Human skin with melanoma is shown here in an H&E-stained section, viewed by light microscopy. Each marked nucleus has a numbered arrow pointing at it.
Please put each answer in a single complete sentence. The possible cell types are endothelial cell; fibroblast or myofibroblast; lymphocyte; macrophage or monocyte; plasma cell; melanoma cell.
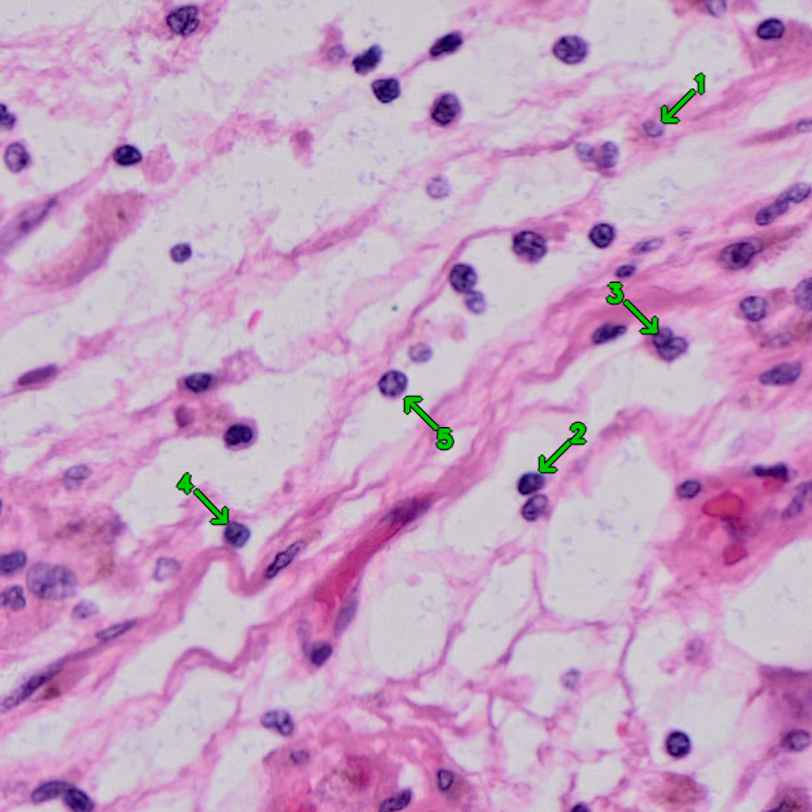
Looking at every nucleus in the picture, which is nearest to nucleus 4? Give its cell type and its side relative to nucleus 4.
Just below and to the right of nucleus 4 lies the nearest nucleus, which belongs to a macrophage or monocyte.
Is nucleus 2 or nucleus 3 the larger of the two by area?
Nucleus 3 is larger, with an area about 1.5 times that of nucleus 2.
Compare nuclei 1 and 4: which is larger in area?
Nucleus 4 is the larger one, covering about 2 times the area of nucleus 1.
